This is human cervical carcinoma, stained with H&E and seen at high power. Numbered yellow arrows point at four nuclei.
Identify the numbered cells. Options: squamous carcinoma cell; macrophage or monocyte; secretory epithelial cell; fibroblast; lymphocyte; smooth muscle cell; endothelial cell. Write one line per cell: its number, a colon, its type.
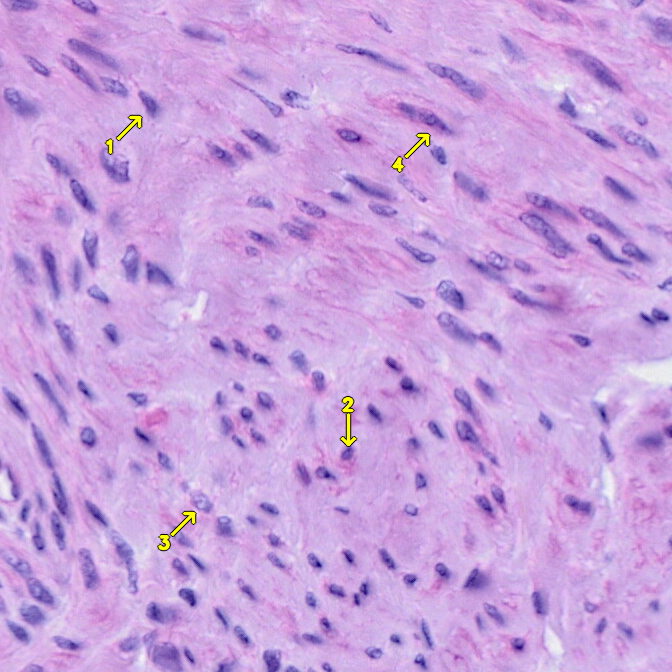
1: fibroblast
2: smooth muscle cell
3: smooth muscle cell
4: smooth muscle cell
